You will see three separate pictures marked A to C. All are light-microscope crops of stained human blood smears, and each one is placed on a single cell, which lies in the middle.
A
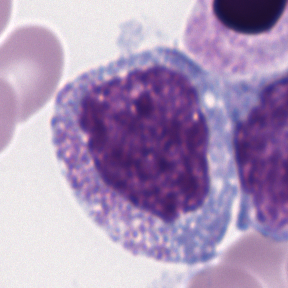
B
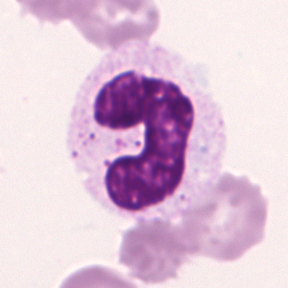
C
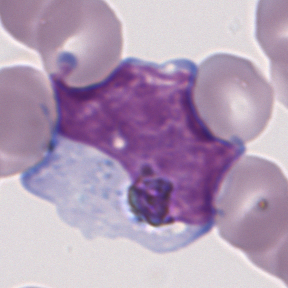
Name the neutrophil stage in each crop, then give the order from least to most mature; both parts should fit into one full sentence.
In terms of maturity, from lowest to highest, the order reads crop C (a myeloblast), crop A (a promyelocyte) and crop B (a band neutrophil).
